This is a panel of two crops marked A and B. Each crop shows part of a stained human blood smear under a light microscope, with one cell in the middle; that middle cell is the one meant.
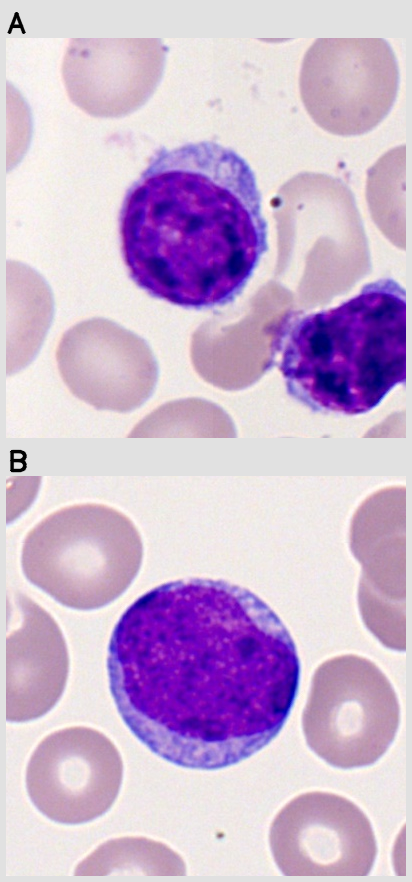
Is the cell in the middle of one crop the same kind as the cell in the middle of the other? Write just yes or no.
no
